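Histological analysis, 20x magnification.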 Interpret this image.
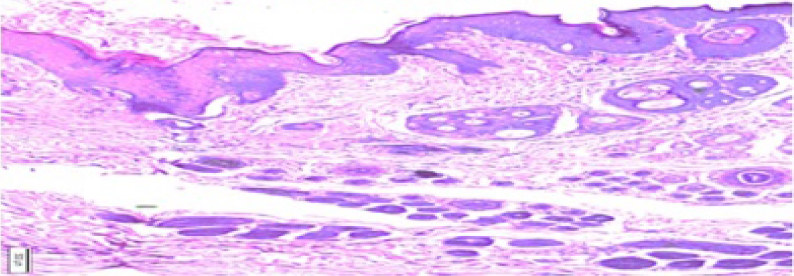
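Skin is shown with a purple-stained epidermis of uneven thickness along the upper surface. Below it, pink fibrous connective tissue of the dermis contains rounded purple epithelial structures cut in cross-section, some with pale central spaces. Deeper in the section run elongated purple bundles separated by pale clefts.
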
